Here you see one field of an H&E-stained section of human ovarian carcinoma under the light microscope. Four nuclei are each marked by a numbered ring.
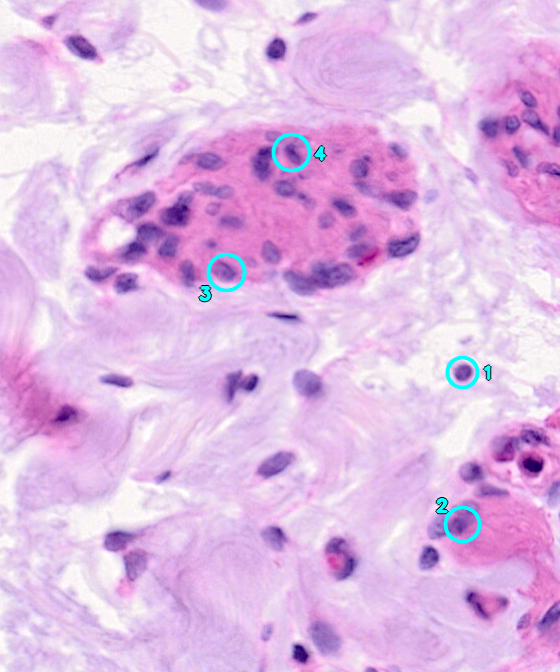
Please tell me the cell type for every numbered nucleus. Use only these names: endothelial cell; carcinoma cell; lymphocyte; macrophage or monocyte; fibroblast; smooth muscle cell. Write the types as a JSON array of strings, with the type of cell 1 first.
["lymphocyte", "smooth muscle cell", "smooth muscle cell", "smooth muscle cell"]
